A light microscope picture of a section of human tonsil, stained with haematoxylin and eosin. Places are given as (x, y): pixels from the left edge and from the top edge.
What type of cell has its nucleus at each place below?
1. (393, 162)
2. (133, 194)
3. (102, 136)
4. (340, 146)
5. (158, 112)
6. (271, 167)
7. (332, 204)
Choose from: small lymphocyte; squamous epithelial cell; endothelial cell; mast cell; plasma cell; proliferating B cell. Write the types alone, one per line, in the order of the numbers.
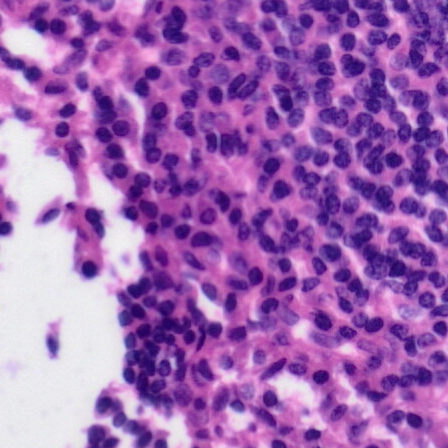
small lymphocyte
plasma cell
plasma cell
small lymphocyte
plasma cell
plasma cell
small lymphocyte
